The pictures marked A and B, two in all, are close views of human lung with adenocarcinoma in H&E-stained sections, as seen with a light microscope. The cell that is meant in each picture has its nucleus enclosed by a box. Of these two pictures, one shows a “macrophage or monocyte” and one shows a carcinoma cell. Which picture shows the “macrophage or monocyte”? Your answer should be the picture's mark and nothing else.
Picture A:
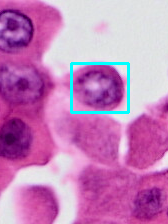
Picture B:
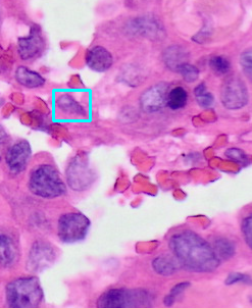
B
